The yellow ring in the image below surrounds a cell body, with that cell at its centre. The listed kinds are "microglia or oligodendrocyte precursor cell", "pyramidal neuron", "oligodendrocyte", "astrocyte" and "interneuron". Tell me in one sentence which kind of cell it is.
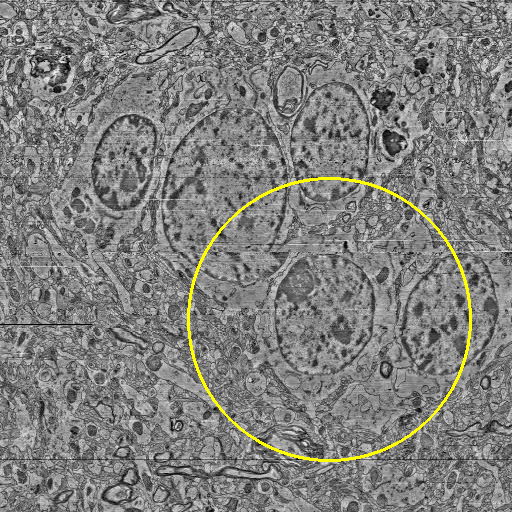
The centre of the ring holds an astrocyte.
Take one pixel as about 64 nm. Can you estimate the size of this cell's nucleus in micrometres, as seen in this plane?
In this plane, the nucleus of the cell at the centre of the ring measures about 8 by 7 micrometres.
